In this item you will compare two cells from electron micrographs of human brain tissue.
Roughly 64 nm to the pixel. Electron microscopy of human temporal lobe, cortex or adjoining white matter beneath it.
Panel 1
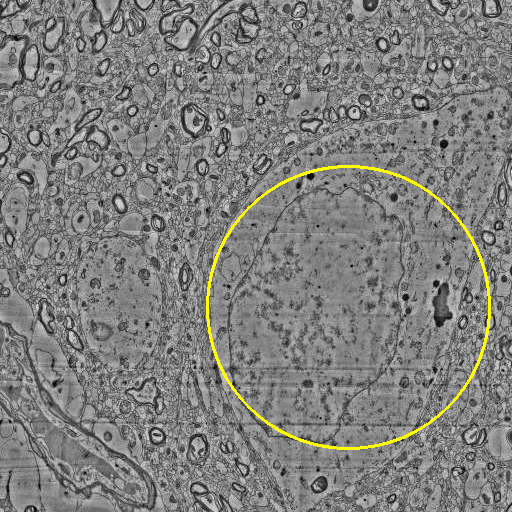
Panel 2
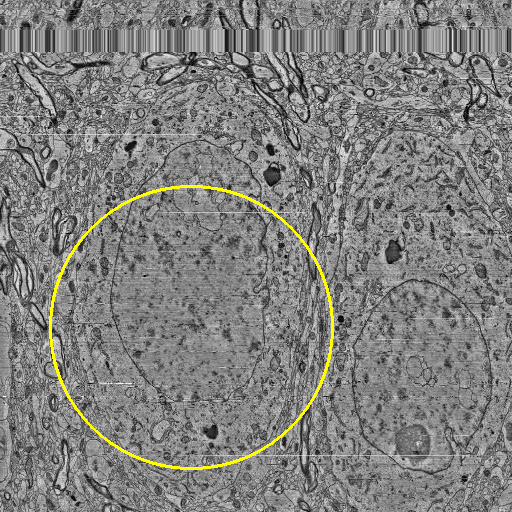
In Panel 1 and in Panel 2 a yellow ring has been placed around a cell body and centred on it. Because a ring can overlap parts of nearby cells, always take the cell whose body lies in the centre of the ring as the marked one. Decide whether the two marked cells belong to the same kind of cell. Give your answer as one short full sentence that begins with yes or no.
Yes, the two marked cells belong to the same kind of cell.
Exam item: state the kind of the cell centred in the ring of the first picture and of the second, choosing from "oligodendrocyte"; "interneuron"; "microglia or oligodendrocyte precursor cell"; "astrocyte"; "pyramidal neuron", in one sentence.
Each of the two rings surrounds a pyramidal neuron.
